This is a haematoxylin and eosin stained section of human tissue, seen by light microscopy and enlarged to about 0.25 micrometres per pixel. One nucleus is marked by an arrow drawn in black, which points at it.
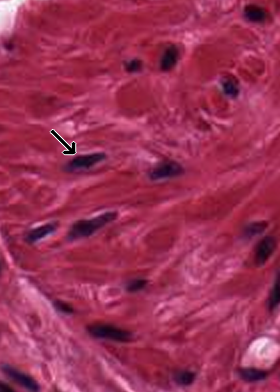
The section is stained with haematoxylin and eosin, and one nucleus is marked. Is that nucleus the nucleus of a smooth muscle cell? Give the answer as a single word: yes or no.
yes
